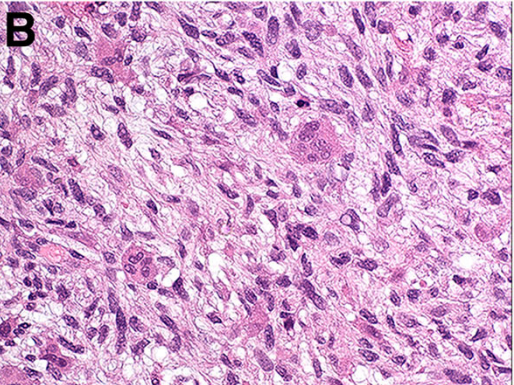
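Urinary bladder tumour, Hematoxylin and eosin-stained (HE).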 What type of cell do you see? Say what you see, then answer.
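Most cells are elongated with tapering pink cytoplasm. Nuclei are elongated with blunt ends. Cells run in loose intersecting streams.
Answer: spindle cells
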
